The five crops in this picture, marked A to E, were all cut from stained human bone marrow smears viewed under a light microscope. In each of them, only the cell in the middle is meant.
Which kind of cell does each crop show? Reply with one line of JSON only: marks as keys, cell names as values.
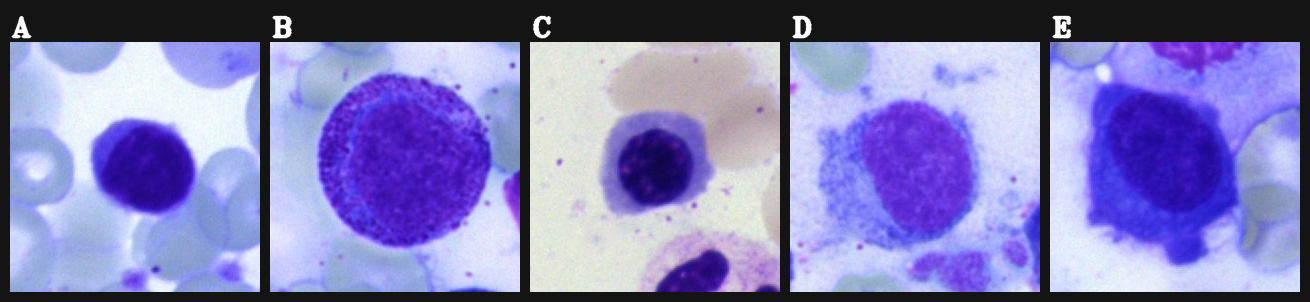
{"A": "lymphocyte", "B": "promyelocyte", "C": "erythroblast", "D": "hairy cell", "E": "plasma cell"}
